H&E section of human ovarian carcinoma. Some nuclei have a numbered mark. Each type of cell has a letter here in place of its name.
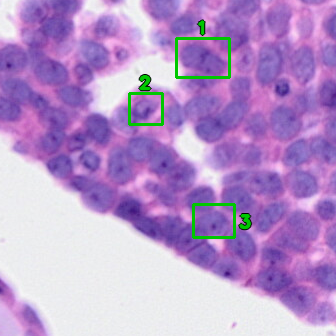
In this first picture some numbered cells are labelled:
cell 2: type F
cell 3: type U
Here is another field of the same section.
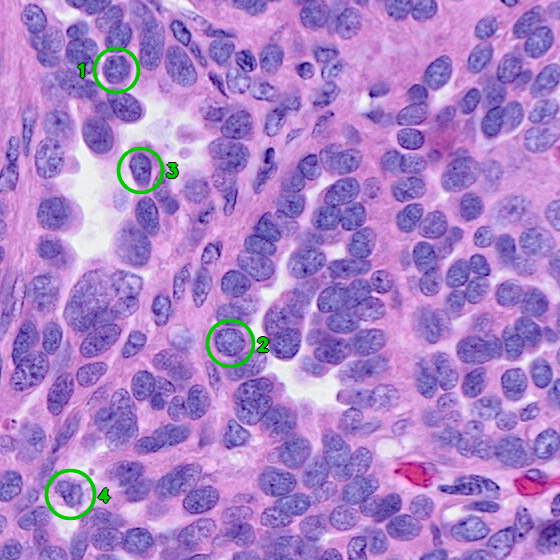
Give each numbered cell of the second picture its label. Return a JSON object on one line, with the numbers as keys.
{"1": "type U", "2": "type U", "3": "type U", "4": "type F"}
